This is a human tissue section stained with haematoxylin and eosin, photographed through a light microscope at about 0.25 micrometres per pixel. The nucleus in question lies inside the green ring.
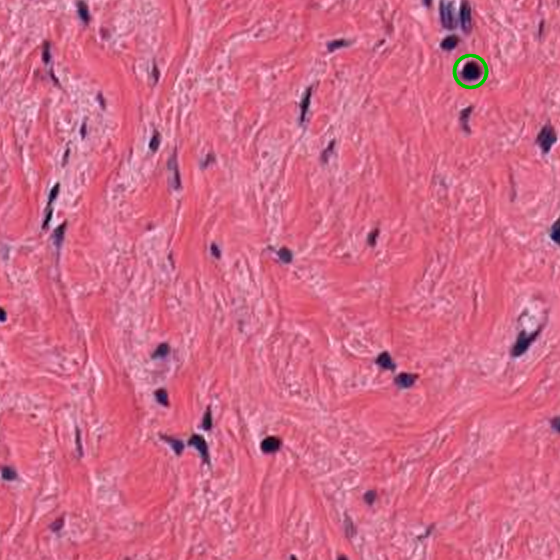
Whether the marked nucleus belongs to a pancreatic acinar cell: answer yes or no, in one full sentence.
No, the marked nucleus forms part of a supporting cell instead of a pancreatic acinar cell.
